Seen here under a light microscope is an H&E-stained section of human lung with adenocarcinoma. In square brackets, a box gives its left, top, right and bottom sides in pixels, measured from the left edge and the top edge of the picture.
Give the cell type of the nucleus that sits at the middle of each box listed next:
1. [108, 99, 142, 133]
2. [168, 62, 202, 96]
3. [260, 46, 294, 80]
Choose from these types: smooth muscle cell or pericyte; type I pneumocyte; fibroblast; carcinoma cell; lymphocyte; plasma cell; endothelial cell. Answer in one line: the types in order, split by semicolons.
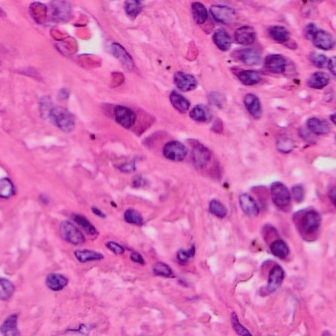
plasma cell; lymphocyte; plasma cell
